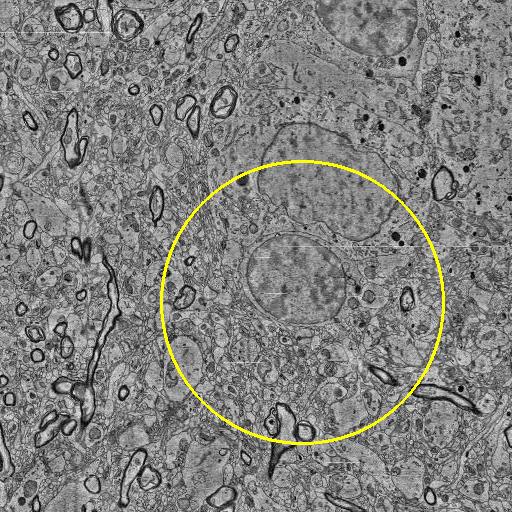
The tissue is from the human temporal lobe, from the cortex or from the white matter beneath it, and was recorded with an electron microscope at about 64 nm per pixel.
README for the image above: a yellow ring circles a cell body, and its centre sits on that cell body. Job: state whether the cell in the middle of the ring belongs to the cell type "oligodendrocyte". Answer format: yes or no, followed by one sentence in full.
Yes, the cell sitting in the middle of the ring in the image belongs to that type.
